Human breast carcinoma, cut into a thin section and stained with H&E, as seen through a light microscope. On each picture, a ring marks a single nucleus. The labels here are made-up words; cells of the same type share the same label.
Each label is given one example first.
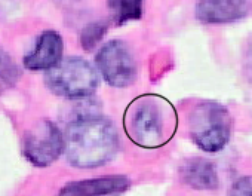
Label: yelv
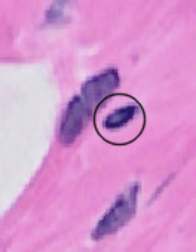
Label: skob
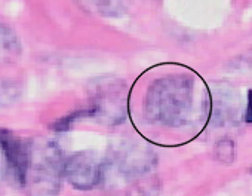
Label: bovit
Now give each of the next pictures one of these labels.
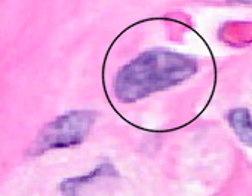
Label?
yelv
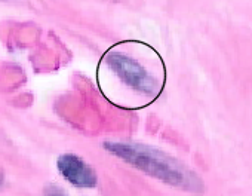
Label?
yelv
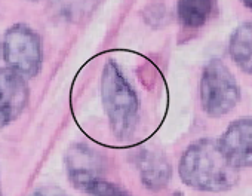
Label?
yelv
